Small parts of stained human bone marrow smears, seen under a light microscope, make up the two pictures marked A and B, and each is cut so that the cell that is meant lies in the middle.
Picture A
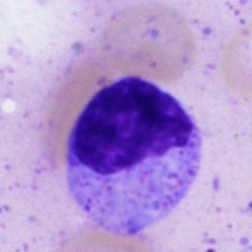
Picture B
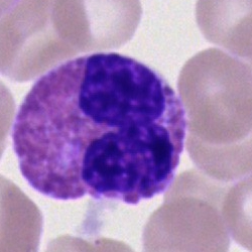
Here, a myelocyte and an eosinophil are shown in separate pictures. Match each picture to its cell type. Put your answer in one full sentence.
It is picture A that shows a myelocyte, and picture B that shows an eosinophil.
